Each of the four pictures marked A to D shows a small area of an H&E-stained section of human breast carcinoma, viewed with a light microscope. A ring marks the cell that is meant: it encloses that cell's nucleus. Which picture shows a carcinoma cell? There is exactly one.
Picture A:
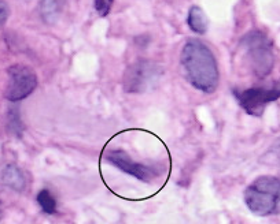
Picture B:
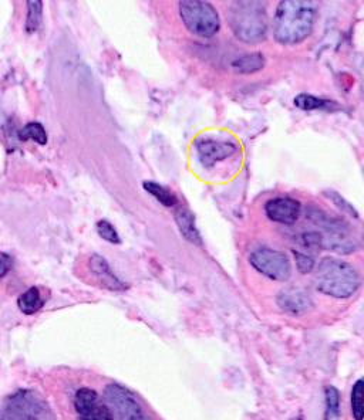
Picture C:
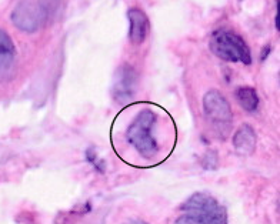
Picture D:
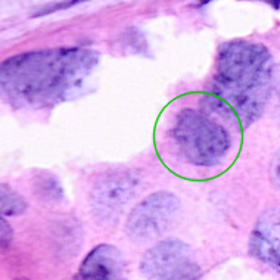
D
